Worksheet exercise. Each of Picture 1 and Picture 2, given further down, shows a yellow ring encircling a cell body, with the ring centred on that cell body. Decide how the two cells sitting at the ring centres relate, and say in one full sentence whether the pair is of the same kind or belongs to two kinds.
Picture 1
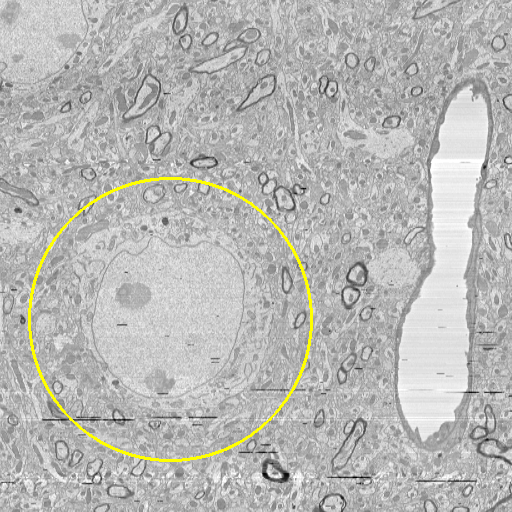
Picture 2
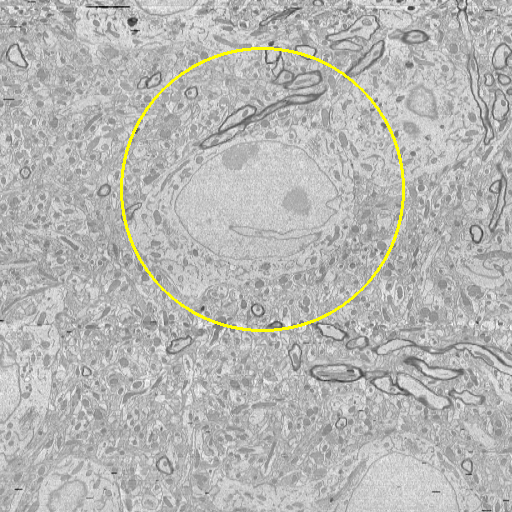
The cells at the ring centres in Picture 1 and Picture 2 are of the same kind.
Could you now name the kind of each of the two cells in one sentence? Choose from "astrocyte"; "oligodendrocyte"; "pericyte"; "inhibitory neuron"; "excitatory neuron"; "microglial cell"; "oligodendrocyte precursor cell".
Each of the two rings surrounds an excitatory neuron.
